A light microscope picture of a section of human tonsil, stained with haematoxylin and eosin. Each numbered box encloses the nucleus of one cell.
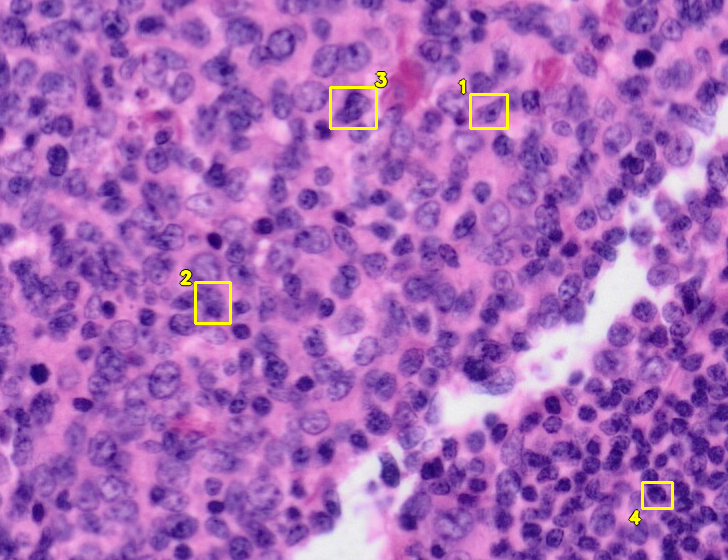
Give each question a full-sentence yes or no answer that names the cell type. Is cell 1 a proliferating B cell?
Yes, number 1 in this section denotes a proliferating B cell.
